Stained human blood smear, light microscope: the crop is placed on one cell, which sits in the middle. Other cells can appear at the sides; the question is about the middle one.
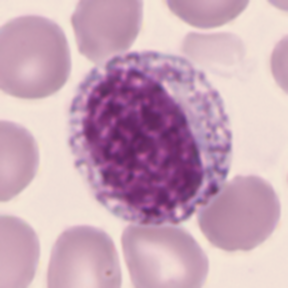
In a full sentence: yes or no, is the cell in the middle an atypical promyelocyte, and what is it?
No, the cell in the middle of the crop counts as a myelocyte and not as an atypical promyelocyte.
